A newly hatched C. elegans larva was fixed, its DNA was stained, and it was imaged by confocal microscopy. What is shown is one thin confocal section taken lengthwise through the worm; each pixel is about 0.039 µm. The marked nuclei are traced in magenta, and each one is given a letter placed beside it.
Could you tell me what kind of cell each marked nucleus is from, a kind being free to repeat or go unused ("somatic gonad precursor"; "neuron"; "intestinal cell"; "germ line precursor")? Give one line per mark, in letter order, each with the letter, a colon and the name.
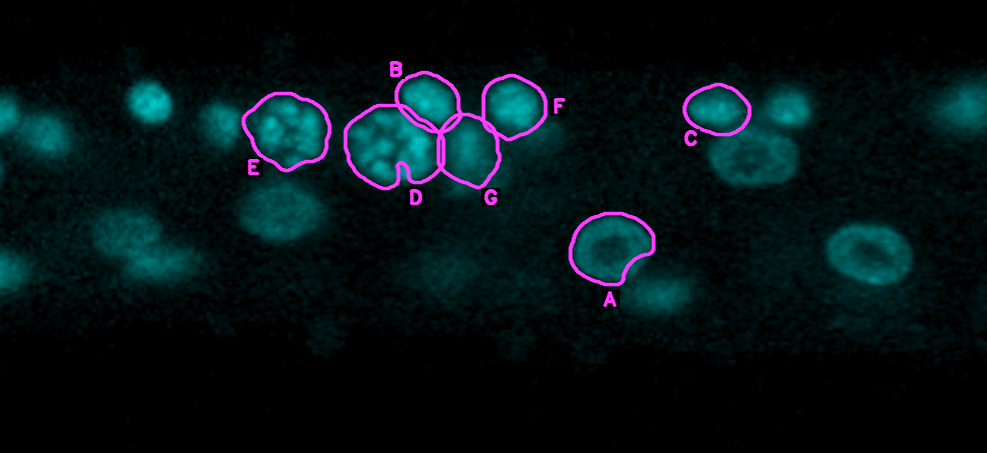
A: intestinal cell
B: neuron
C: neuron
D: germ line precursor
E: germ line precursor
F: neuron
G: somatic gonad precursor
